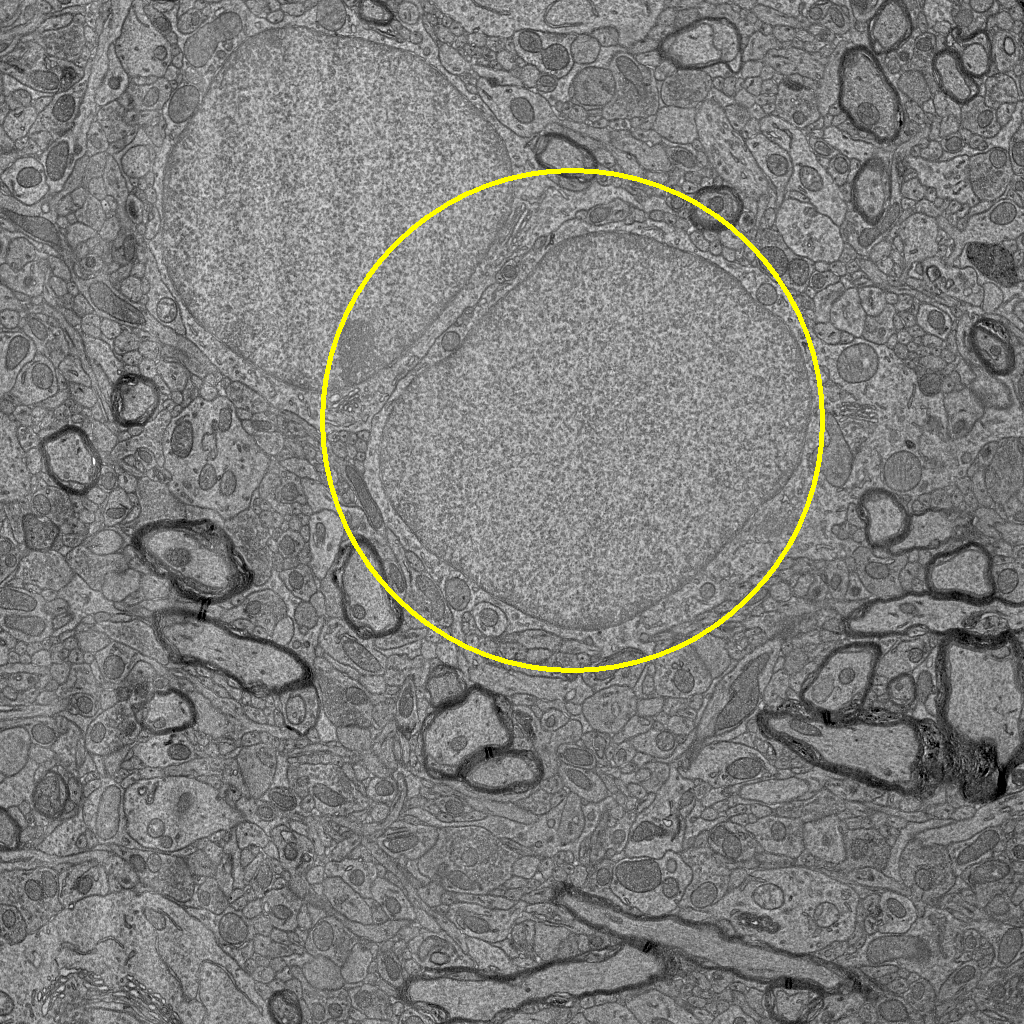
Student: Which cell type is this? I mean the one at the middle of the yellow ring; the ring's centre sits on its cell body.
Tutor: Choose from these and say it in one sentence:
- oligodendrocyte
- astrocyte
The cell at the ring's centre is an astrocyte.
